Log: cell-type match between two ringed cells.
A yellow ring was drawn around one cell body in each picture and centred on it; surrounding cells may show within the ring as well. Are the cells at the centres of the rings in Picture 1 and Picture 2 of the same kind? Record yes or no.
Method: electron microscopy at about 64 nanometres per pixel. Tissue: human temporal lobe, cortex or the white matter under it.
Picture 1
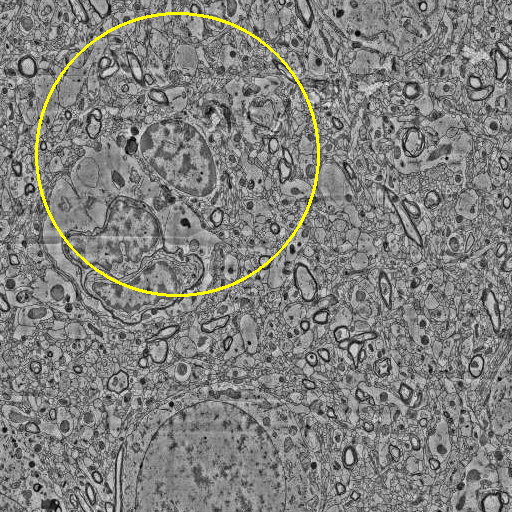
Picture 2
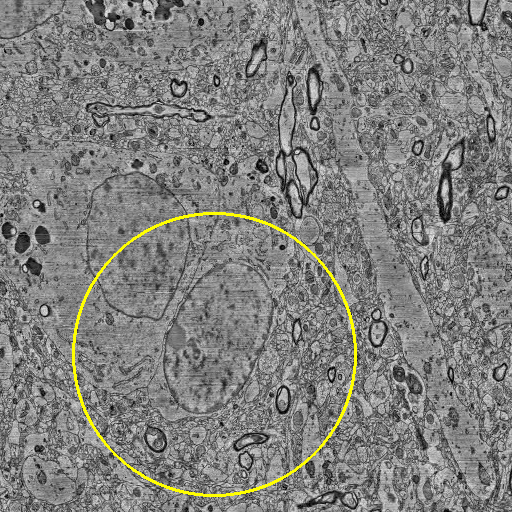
yes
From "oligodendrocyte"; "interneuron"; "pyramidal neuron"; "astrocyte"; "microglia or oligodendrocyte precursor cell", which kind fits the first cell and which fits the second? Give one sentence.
The cell at the ring centre is a microglial cell or oligodendrocyte precursor cell in both pictures.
